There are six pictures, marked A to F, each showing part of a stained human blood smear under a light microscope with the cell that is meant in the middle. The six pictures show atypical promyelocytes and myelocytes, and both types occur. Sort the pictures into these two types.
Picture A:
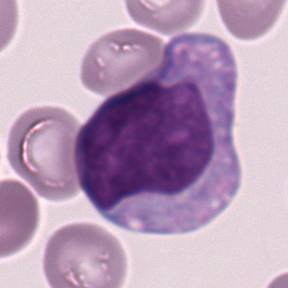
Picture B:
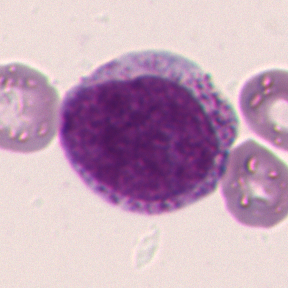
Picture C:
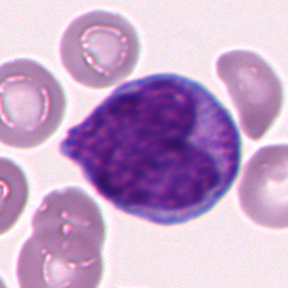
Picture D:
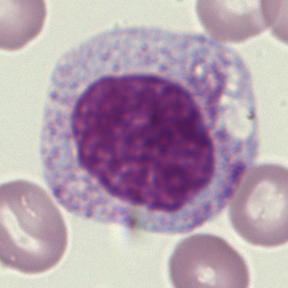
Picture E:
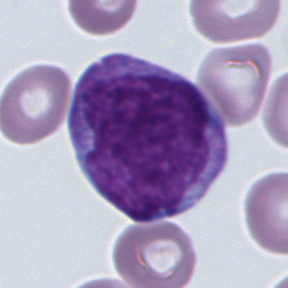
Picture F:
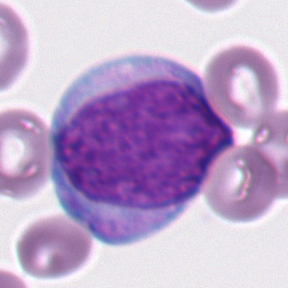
A: atypical promyelocyte
B: myelocyte
C: atypical promyelocyte
D: myelocyte
E: atypical promyelocyte
F: atypical promyelocyte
